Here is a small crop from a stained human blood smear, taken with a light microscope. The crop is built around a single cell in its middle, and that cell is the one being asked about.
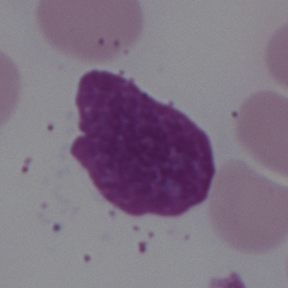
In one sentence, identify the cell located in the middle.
As for the central cell, it is a smudge cell.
